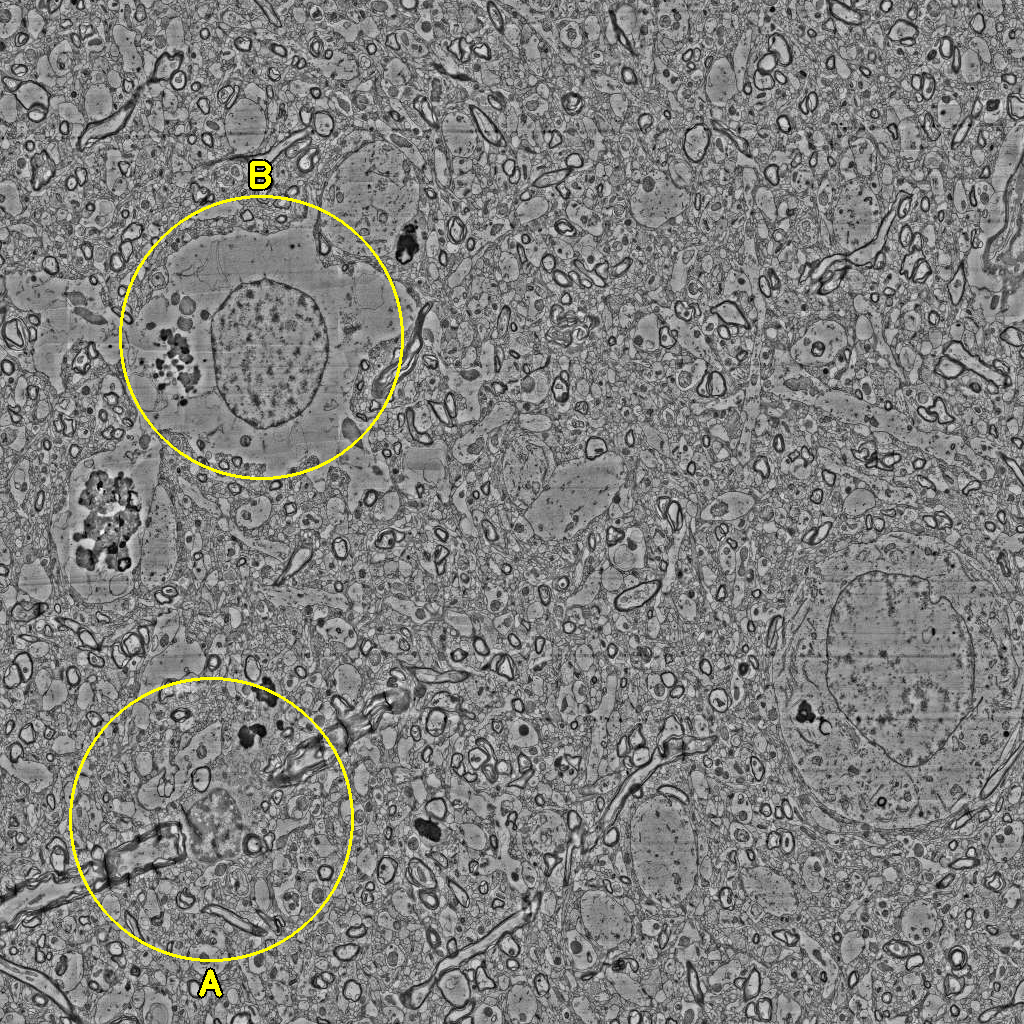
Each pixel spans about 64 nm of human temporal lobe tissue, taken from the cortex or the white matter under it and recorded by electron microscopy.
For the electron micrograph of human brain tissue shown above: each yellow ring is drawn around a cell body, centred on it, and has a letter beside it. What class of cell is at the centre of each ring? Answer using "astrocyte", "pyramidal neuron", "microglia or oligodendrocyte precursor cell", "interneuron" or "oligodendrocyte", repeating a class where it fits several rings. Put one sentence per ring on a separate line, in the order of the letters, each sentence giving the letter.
At ring A, the central cell is an oligodendrocyte.
At ring B, the central cell is an astrocyte.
